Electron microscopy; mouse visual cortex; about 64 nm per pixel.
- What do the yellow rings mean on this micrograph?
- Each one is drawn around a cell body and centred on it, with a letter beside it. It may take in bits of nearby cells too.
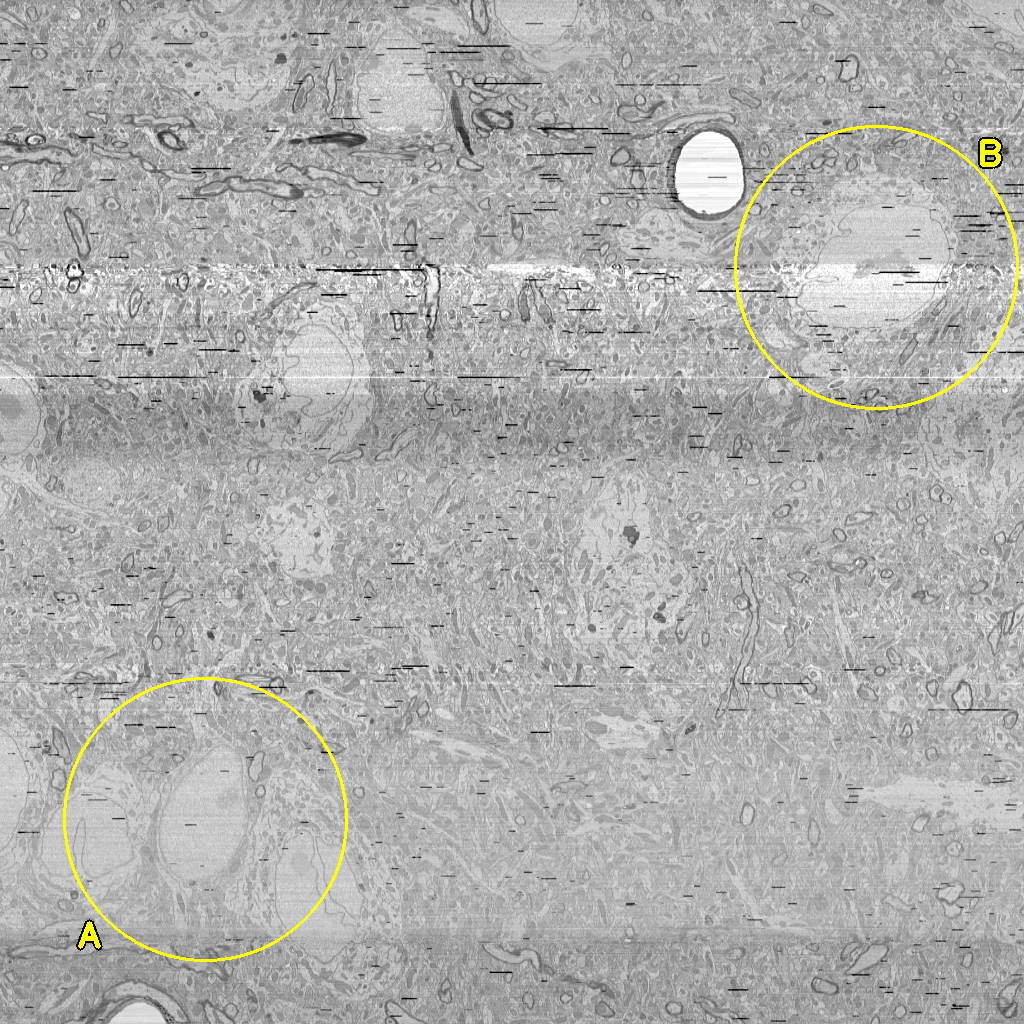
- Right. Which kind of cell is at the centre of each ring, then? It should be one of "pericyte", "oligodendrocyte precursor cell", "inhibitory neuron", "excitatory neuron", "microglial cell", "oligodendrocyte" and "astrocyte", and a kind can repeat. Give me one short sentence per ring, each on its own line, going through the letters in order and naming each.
Ring A circles the cell body of an astrocyte.
Ring B circles the cell body of an excitatory neuron.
